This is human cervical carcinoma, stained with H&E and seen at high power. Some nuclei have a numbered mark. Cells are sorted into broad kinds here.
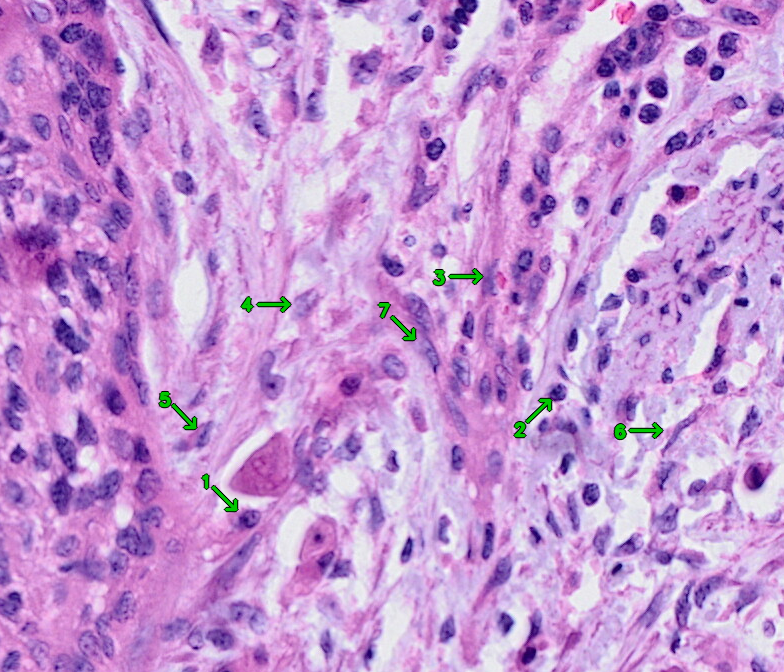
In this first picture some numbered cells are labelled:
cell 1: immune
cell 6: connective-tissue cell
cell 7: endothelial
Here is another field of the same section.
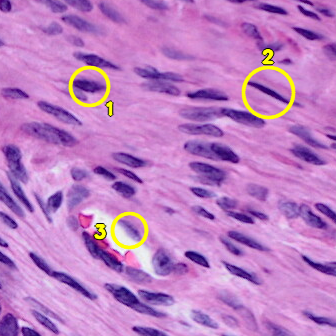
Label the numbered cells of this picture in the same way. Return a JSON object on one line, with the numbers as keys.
{"1": "connective-tissue cell", "2": "connective-tissue cell", "3": "endothelial"}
